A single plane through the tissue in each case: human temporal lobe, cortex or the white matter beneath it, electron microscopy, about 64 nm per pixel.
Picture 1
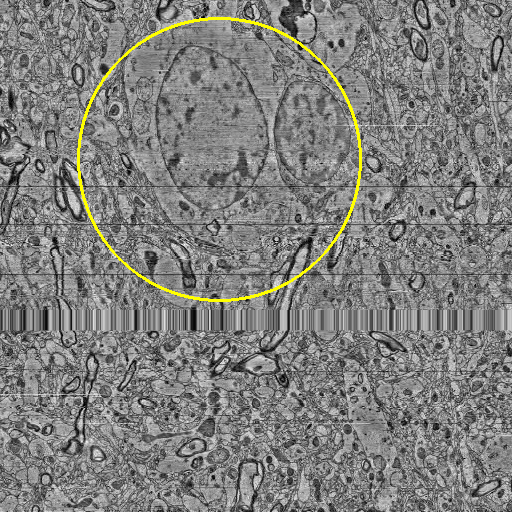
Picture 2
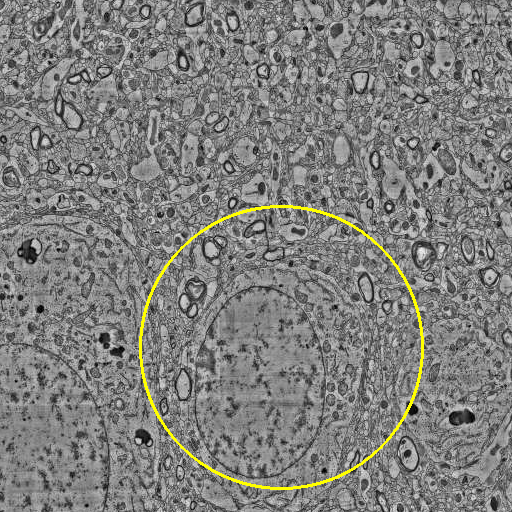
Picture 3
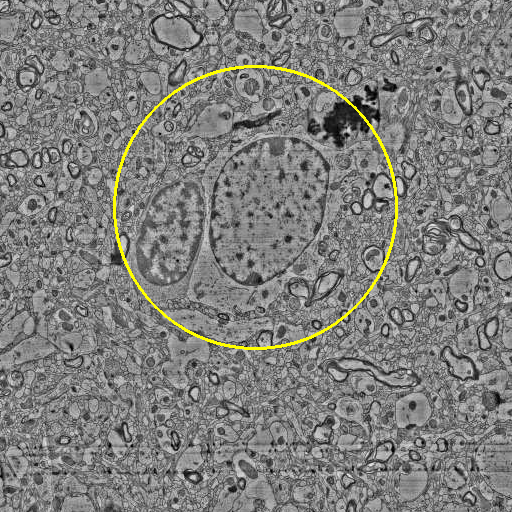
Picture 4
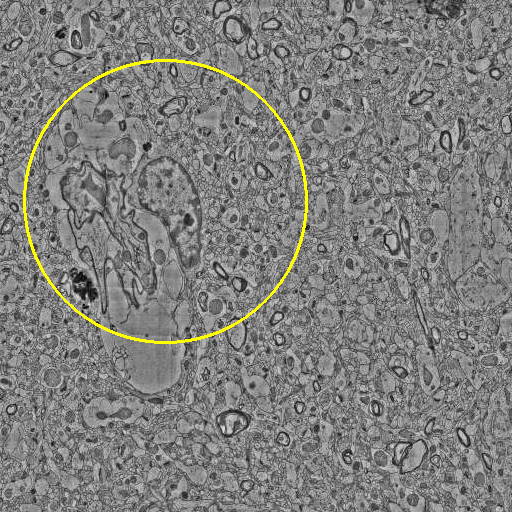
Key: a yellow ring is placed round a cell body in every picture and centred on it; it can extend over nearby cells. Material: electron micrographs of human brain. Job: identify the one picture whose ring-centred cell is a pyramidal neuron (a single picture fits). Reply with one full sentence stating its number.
Picture 2 is the one with the sought cell at the centre of its ring.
